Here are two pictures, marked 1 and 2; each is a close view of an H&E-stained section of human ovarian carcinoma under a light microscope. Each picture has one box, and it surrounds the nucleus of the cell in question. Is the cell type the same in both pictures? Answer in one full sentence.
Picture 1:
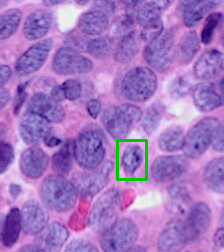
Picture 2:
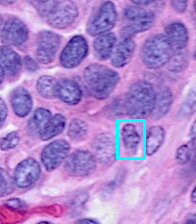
Yes, both are “macrophages or monocytes”.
